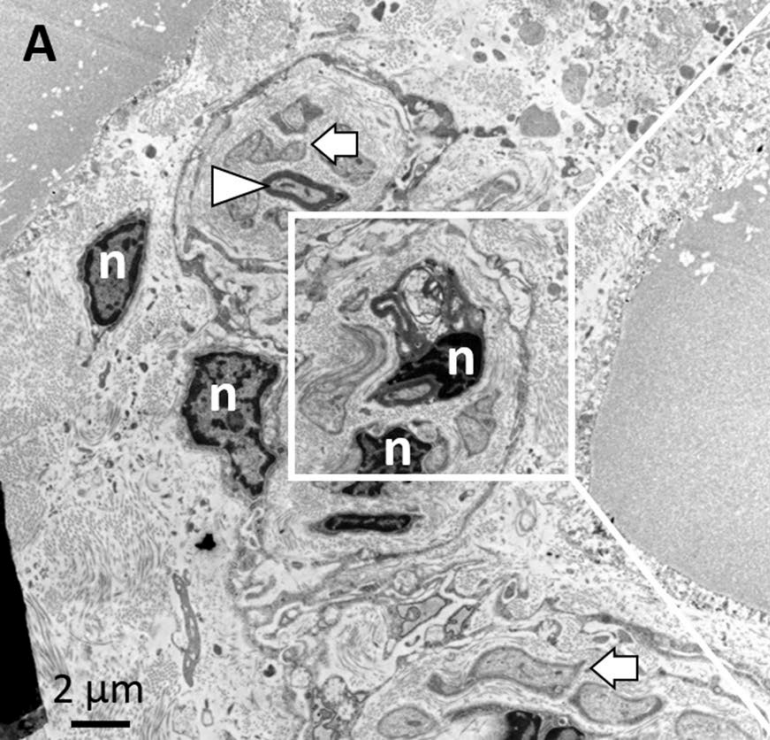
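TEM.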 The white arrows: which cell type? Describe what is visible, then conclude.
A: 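No thick dark myelin rings surround these axons.
Conclusion: non-myelinating Schwann cells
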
